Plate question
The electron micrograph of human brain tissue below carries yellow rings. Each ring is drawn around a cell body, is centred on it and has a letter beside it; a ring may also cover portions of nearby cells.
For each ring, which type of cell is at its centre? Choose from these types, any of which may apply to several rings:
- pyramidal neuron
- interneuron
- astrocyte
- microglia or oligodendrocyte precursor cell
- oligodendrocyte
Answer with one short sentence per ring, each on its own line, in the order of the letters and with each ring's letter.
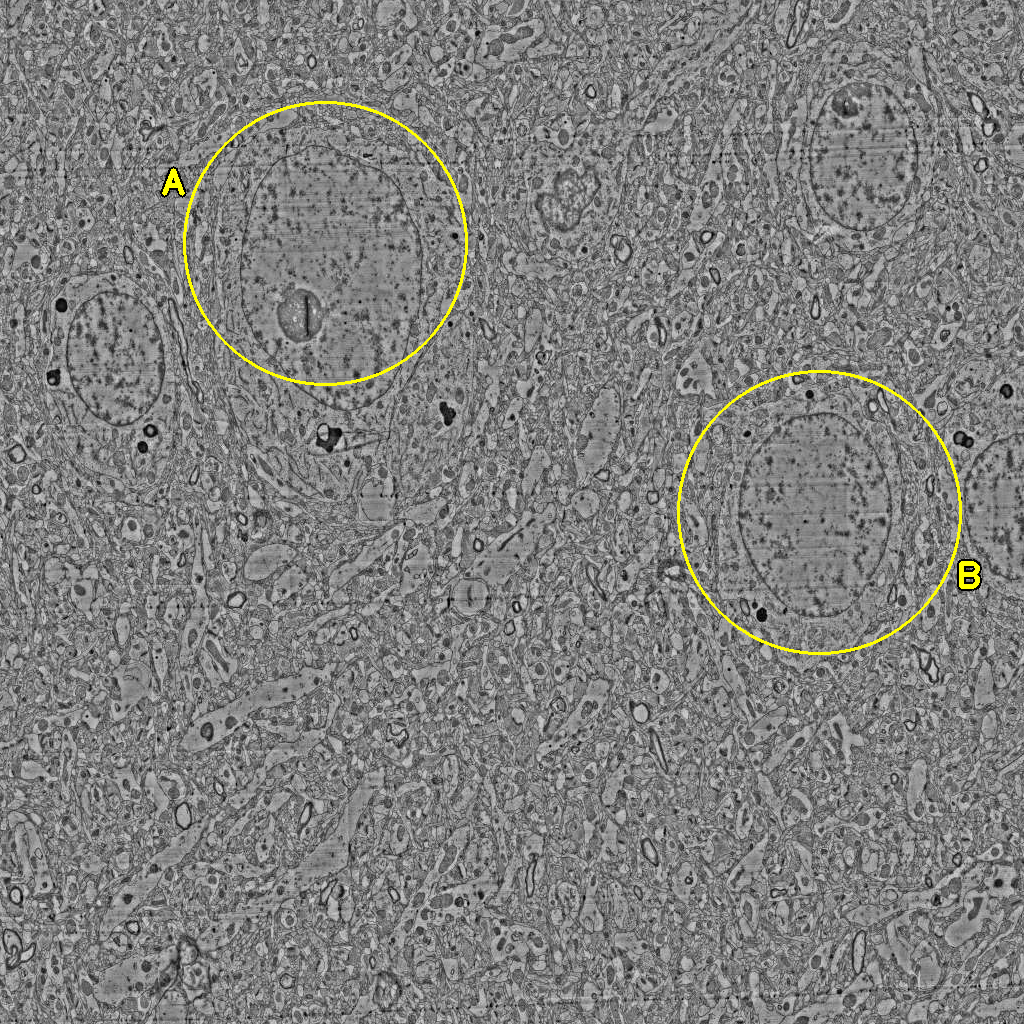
The cell ringed as A is a pyramidal neuron.
The cell ringed as B is a pyramidal neuron.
